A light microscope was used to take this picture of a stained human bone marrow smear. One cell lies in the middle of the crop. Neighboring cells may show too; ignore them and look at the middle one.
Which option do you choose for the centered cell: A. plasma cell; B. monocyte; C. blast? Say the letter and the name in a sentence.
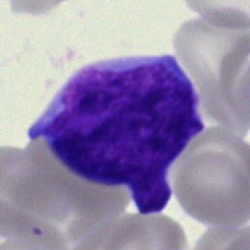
Since the cell in the middle is a blast, option C is correct.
